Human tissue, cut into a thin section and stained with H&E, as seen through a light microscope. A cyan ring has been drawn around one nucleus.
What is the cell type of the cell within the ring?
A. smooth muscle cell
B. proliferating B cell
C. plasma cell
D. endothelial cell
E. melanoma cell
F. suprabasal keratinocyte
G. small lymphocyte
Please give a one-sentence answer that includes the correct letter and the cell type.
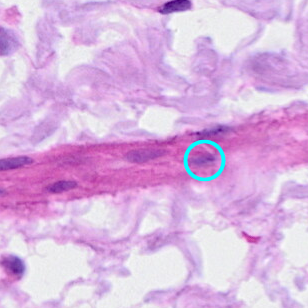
The correct option here, A, identifies the cell within the ring as a smooth muscle cell.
